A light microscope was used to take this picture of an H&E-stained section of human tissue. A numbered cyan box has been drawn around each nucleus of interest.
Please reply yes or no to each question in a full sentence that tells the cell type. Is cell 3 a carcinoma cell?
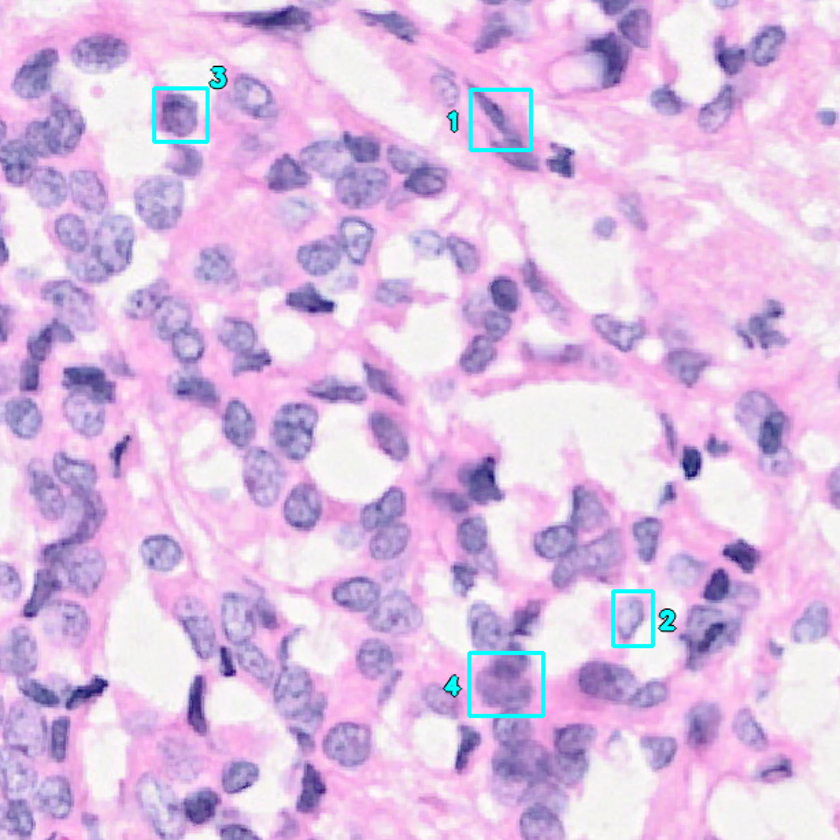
Yes, the cell whose number is 3 is a carcinoma cell.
